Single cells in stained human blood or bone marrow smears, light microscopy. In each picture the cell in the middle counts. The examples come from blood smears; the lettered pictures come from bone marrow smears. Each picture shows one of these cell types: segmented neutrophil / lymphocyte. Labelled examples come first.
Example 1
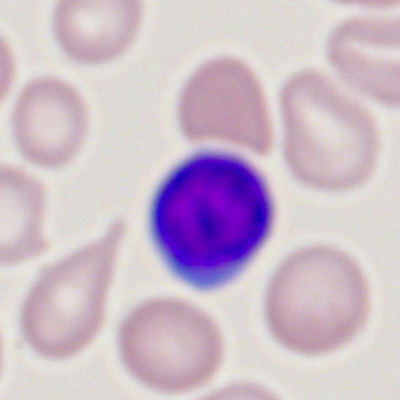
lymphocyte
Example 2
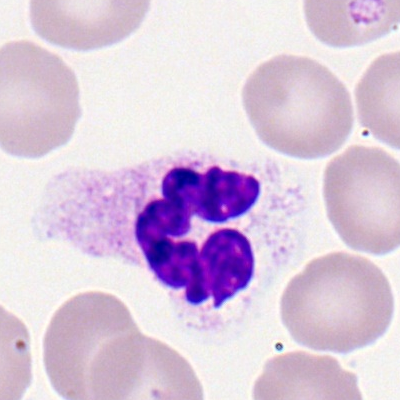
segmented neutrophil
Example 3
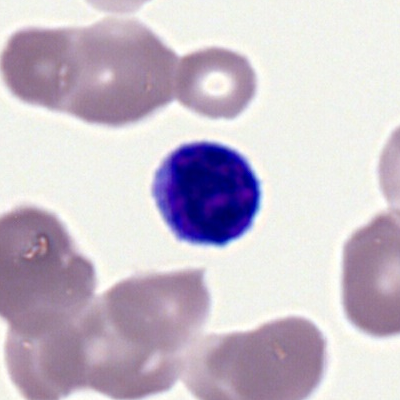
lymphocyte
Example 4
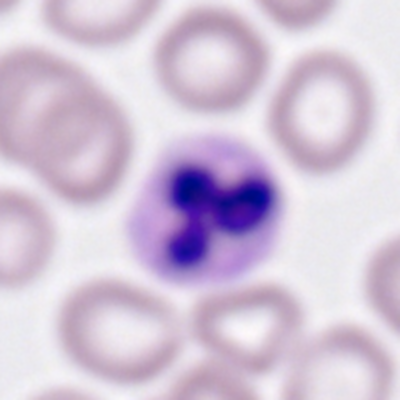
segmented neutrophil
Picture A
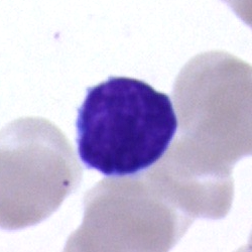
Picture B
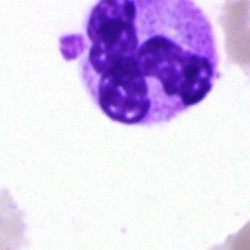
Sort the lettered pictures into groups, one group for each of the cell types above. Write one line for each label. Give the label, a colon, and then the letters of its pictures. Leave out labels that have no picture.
segmented neutrophil: B
lymphocyte: A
